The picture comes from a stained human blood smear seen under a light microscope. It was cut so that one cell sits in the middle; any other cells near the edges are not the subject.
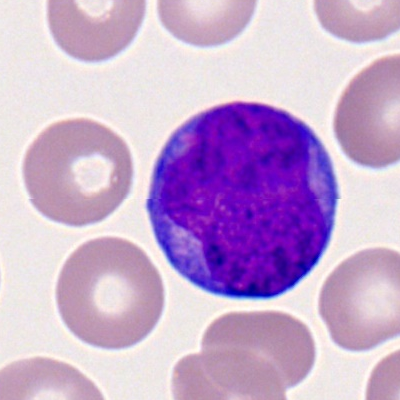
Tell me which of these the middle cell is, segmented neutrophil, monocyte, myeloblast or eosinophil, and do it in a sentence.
In short, the cell at the center is a myeloblast.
